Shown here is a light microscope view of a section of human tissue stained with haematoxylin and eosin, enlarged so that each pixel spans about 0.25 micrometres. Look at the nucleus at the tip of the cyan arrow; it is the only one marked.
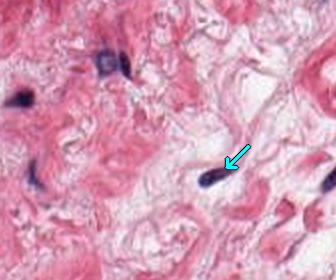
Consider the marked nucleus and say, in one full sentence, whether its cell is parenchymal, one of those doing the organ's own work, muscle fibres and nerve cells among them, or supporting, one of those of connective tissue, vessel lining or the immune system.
A supporting cell is the cell whose nucleus is marked.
